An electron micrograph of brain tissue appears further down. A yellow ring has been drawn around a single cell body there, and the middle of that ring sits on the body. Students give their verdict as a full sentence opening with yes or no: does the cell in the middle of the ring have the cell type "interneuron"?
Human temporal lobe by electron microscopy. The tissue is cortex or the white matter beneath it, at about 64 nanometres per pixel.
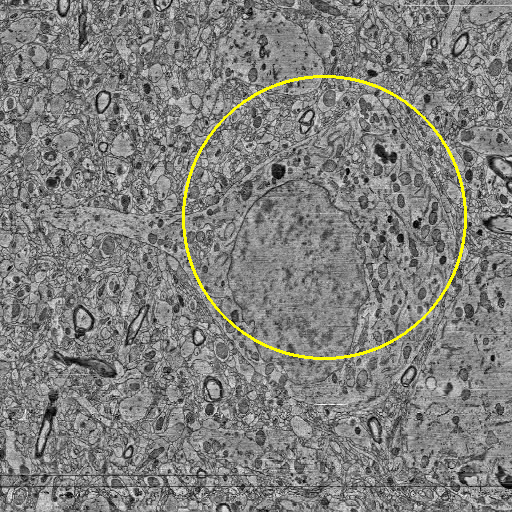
Yes, in this picture the cell sitting at the middle of the ring has that cell type.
